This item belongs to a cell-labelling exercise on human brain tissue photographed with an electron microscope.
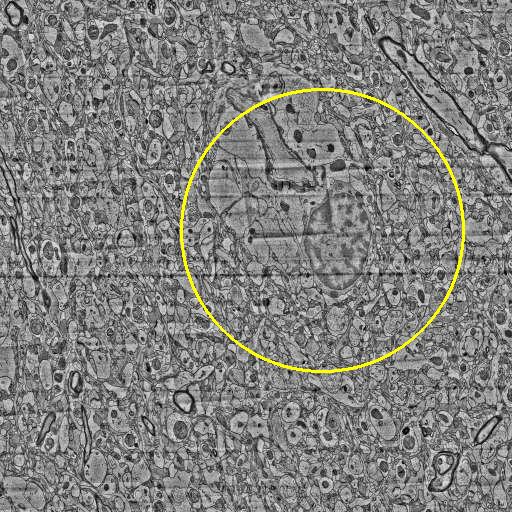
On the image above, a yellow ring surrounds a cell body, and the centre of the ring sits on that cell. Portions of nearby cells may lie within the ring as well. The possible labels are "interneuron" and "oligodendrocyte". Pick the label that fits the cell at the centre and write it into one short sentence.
This cell should be labelled as an oligodendrocyte.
